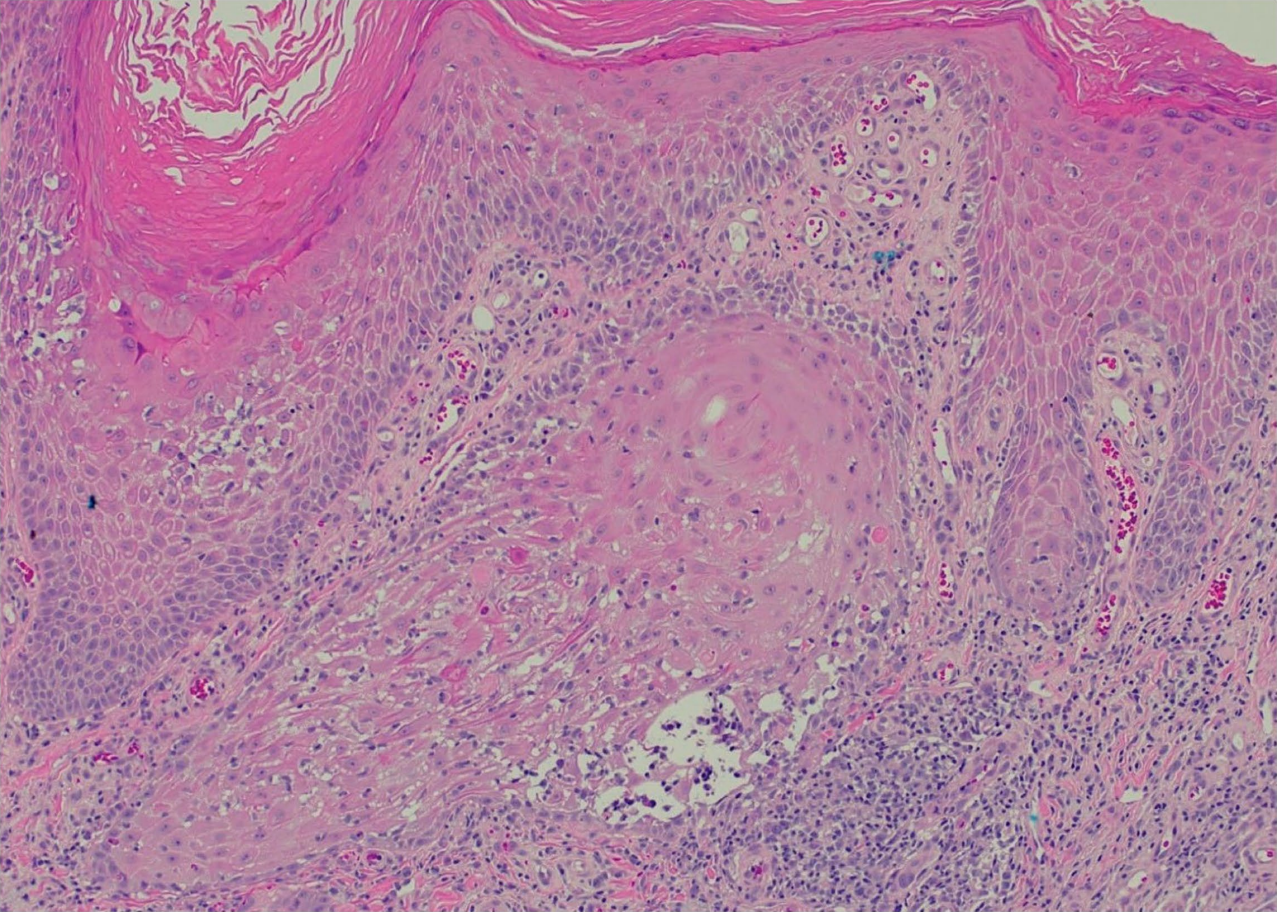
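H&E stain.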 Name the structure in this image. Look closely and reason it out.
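Civatte bodies. Scattered round, homogeneous, bright pink globules near the dermoepidermal junction. The globules are about the size of a cell and have no nucleus.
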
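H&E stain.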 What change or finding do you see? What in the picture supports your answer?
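Band-like lymphohistiocytic infiltrate. Dense sheet of small dark round nuclei in the upper dermis. The infiltrate lies directly beneath the epidermis and blurs its lower border.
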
